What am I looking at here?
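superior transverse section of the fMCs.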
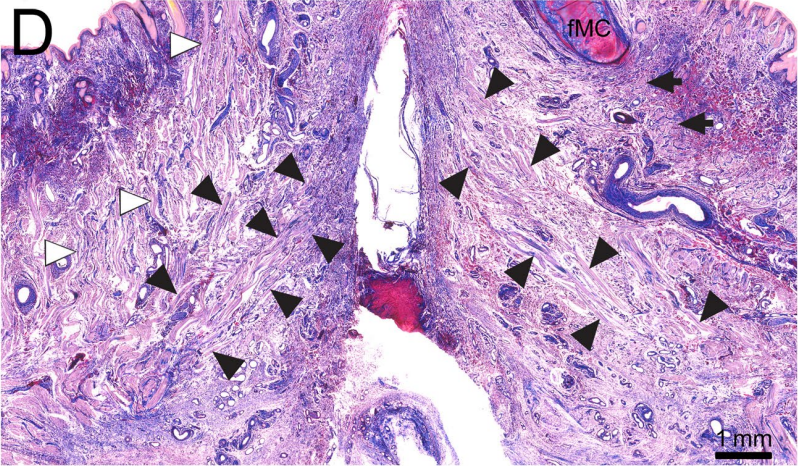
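This field shows the soft tissue of the nose on both sides of a central cleft, with skin at the top and a blue-rimmed cartilage plate at upper right. Long, pale pink muscle fibers run in parallel bundles obliquely toward the midline through purple connective tissue, and further out near the skin other fiber bundles lie beside small vessels and glands.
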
